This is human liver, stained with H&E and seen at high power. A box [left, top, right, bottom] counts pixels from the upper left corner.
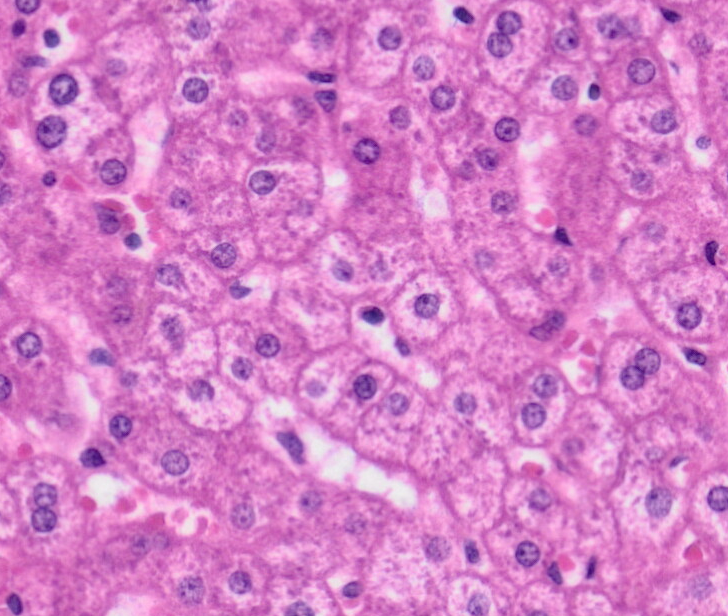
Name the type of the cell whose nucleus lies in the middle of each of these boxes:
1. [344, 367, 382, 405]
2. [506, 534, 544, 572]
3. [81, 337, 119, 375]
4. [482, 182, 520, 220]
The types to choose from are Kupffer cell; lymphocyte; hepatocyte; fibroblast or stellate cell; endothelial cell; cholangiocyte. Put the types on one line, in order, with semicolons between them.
hepatocyte; hepatocyte; endothelial cell; hepatocyte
